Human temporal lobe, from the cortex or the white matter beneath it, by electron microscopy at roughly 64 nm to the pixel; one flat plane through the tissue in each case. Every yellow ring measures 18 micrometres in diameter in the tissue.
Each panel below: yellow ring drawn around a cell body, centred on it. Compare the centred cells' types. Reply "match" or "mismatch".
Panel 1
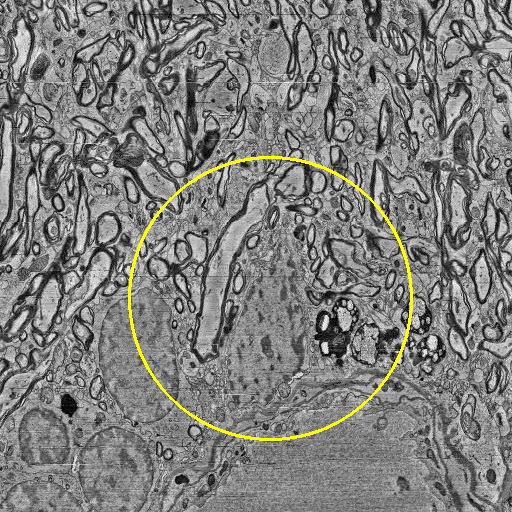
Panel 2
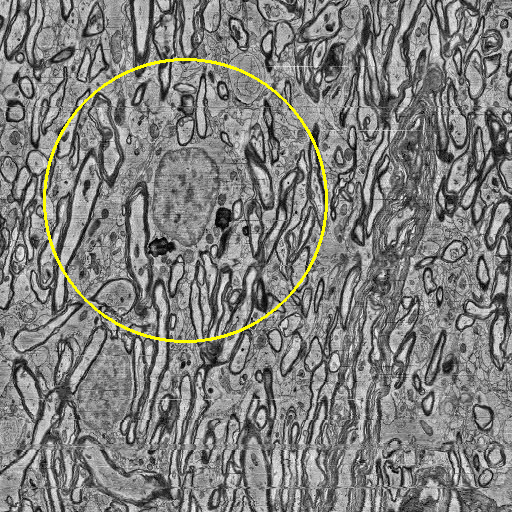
mismatch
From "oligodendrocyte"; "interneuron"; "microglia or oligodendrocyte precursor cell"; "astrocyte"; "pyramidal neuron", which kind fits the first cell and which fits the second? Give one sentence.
The cell marked in the first picture is an astrocyte, and the one marked in the second is an oligodendrocyte.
